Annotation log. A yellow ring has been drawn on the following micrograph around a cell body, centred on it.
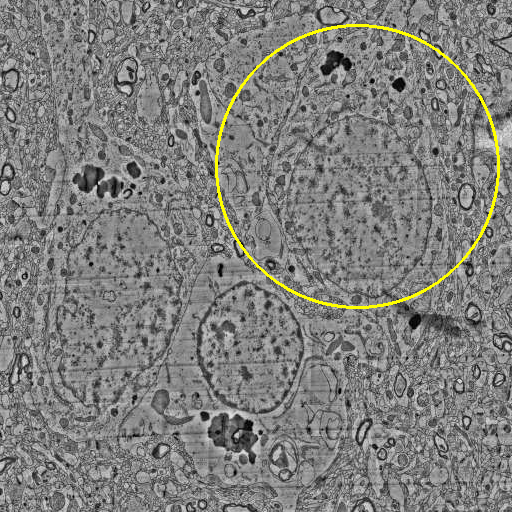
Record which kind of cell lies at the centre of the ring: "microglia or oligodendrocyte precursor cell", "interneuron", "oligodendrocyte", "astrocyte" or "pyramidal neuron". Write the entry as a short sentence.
The cell the ring is centred on is an interneuron.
